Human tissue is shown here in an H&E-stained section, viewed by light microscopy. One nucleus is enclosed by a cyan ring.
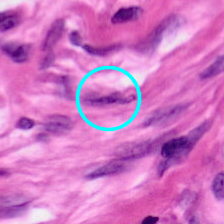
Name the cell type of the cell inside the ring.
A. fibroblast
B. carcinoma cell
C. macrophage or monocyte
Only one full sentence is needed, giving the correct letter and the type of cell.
Option A names the cell inside the ring correctly as a fibroblast.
